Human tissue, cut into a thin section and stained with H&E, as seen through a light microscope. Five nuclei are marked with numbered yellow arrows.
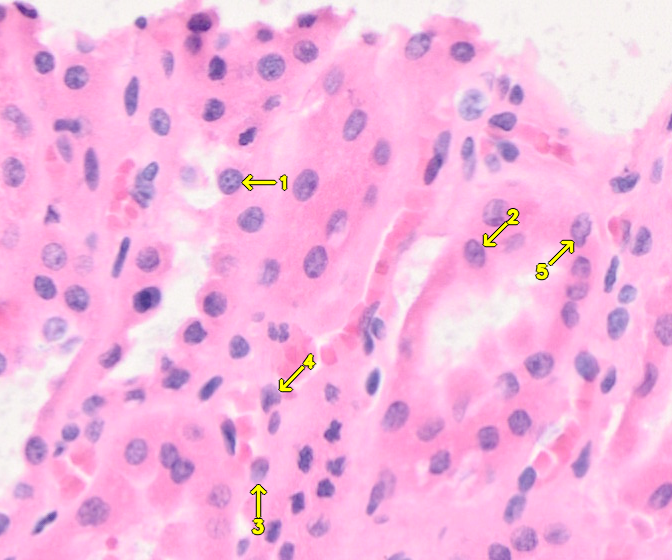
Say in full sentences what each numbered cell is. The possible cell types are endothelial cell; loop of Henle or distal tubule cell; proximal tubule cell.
Cell 1 is a loop of Henle or distal tubule cell, cell 2 is a proximal tubule cell, cell 3 is an endothelial cell, cell 4 is an endothelial cell and cell 5 is a proximal tubule cell.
